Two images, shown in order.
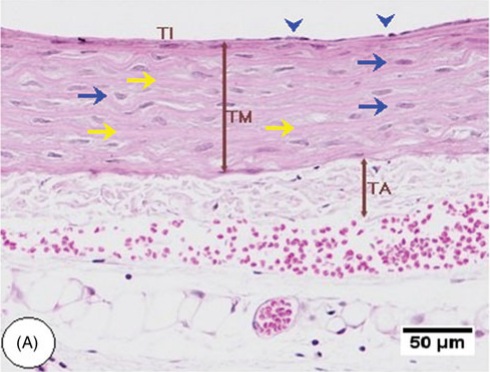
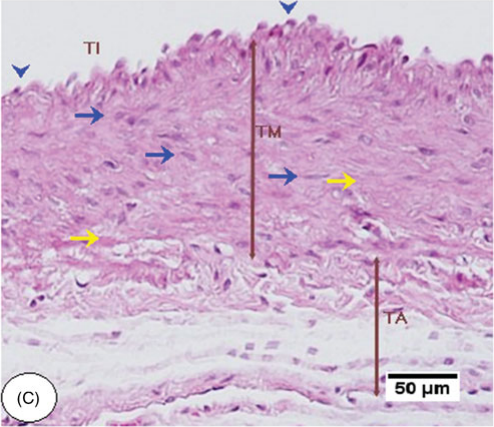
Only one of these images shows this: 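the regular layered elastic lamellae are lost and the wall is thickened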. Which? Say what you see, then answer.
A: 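First image: the middle layer shows orderly wavy pink lamellae parallel to the lumen with elongated nuclei between them. Second image: the middle layer is much thicker, with disordered cells and no regular parallel lamellae, and the luminal surface is irregular and bulging.
Hence: the second image.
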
